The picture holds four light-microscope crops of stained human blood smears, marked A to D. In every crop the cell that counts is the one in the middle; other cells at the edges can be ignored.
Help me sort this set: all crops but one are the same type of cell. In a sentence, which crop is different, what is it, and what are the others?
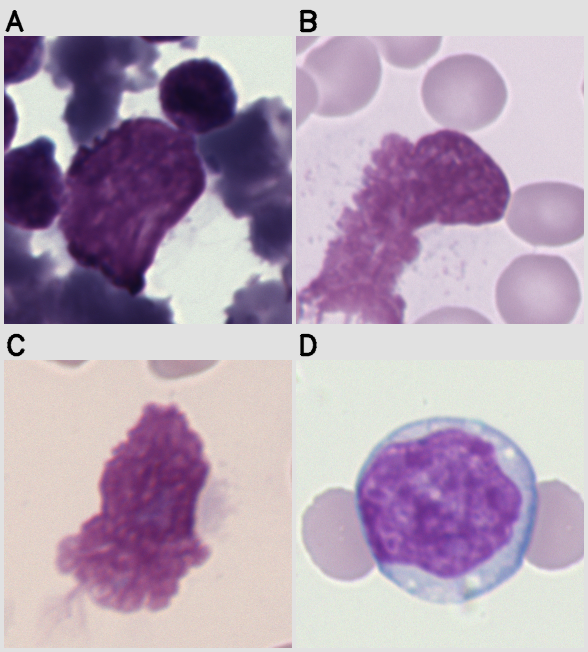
Here the outlier is crop D, which is a myeloblast, and the rest are smudge cells.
